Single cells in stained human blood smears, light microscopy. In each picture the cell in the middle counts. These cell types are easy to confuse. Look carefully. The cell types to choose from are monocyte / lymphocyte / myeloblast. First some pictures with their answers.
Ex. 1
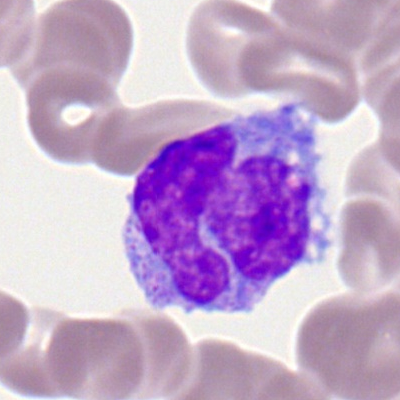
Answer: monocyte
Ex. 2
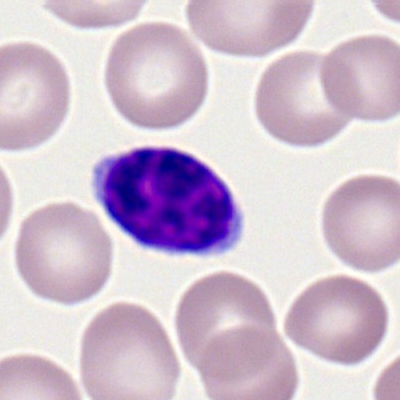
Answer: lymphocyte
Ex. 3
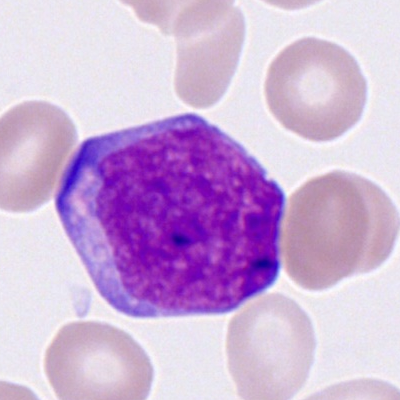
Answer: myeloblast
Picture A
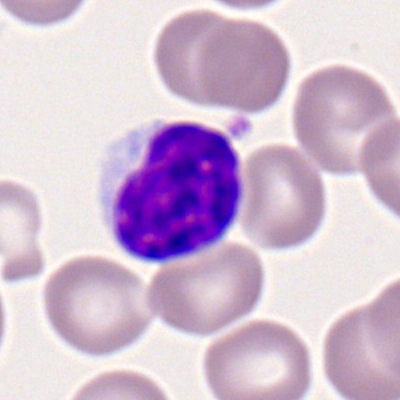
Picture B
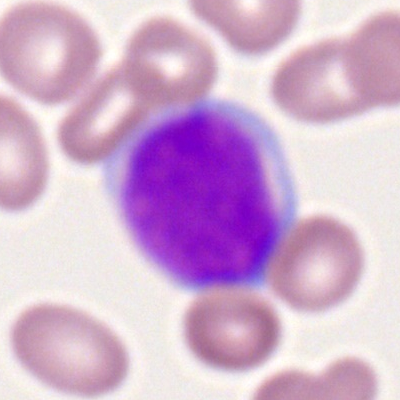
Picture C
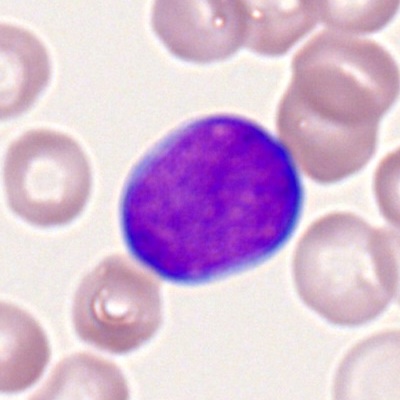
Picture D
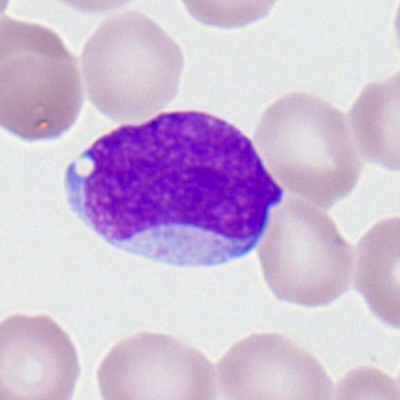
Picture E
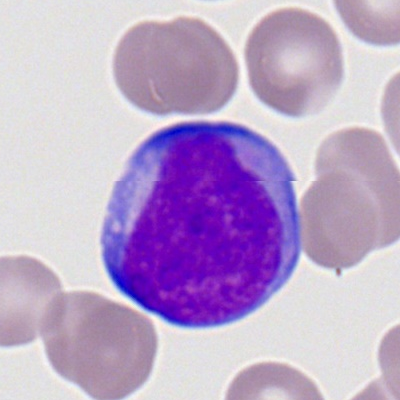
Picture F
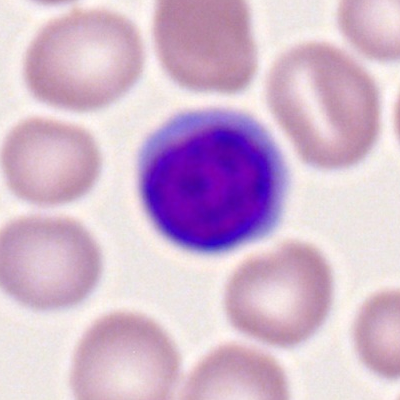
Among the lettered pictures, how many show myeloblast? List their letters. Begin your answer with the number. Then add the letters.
4, namely B, C, D, E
